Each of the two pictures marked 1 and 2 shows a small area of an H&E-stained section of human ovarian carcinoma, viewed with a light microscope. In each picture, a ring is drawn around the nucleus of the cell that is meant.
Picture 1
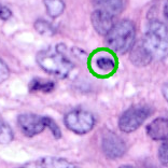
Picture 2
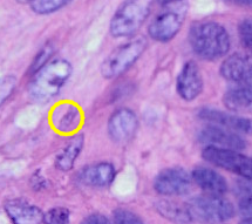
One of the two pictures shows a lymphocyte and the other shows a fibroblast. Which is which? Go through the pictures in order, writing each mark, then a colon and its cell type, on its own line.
1: lymphocyte
2: fibroblast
